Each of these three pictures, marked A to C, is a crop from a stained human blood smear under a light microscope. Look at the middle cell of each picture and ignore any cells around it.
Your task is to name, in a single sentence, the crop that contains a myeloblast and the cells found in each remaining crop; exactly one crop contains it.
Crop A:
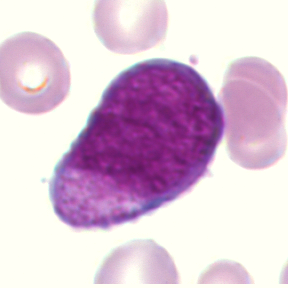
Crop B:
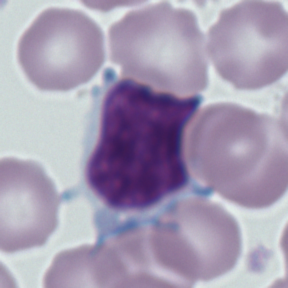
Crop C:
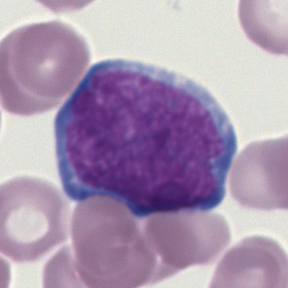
Crop C is showing a myeloblast, while crop A is an atypical promyelocyte and crop B is a lymphocyte.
